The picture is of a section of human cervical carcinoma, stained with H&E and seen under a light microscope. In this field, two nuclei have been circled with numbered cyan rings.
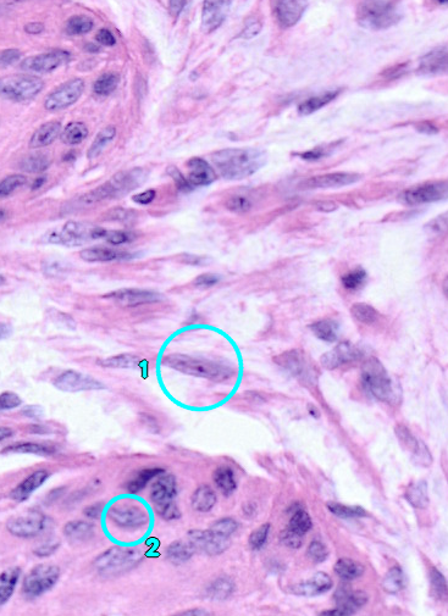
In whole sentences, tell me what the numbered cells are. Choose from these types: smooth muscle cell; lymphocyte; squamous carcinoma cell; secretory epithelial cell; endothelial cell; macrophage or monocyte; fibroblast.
Cell 1 is a fibroblast and cell 2 is a squamous carcinoma cell.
